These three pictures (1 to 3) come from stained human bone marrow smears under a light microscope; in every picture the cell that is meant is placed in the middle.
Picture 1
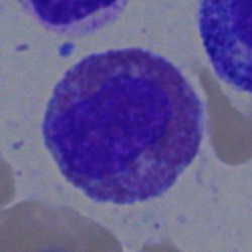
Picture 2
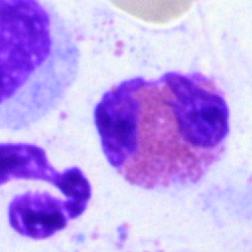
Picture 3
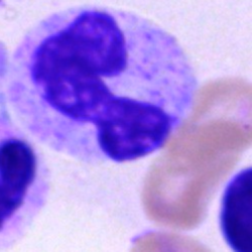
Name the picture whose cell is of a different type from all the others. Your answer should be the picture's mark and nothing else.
3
